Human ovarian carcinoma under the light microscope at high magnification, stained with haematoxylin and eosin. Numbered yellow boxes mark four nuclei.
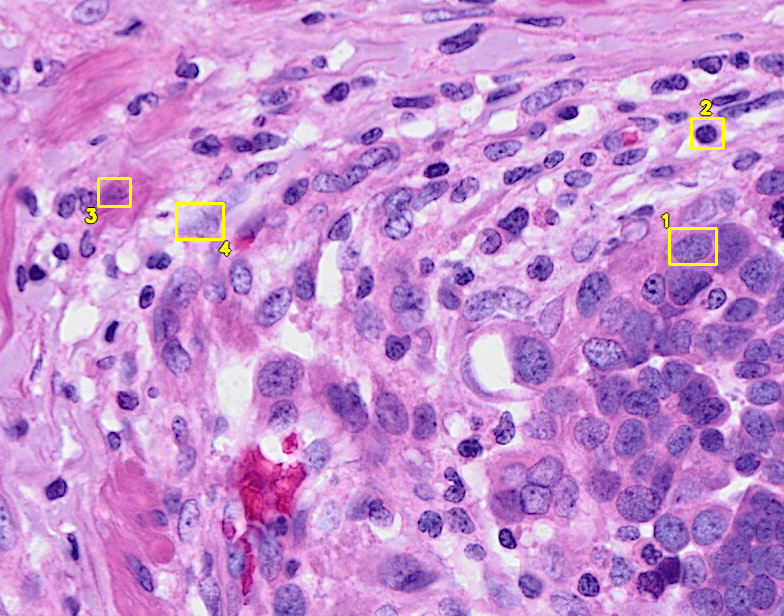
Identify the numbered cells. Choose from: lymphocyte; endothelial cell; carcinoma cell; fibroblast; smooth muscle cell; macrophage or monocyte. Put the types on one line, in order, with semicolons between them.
carcinoma cell; lymphocyte; smooth muscle cell; fibroblast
